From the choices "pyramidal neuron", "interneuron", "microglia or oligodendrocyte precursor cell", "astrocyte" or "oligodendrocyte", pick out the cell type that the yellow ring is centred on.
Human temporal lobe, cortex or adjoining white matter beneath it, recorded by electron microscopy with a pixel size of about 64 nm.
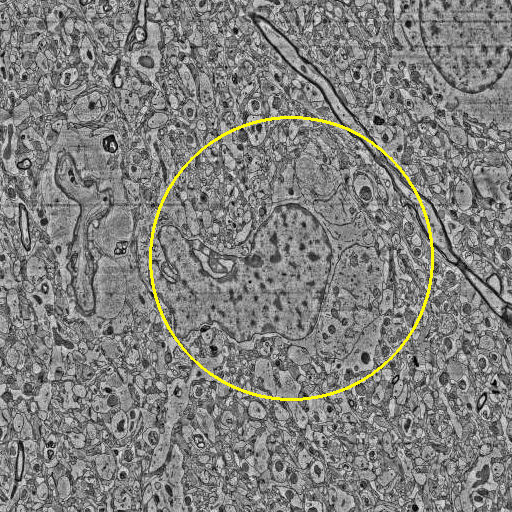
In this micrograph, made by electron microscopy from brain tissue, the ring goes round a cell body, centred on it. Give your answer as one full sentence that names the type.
The yellow ring is centred on a microglial cell or oligodendrocyte precursor cell, whose cell body it encircles in the picture.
